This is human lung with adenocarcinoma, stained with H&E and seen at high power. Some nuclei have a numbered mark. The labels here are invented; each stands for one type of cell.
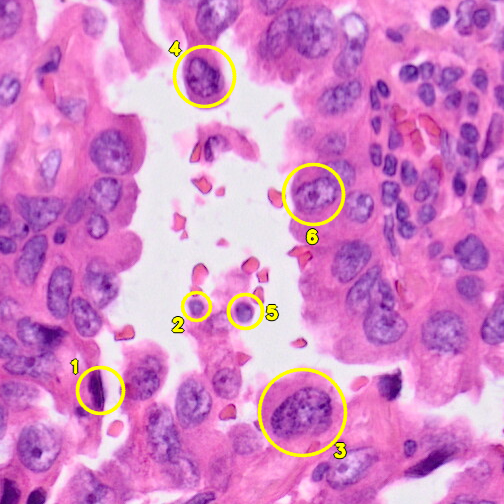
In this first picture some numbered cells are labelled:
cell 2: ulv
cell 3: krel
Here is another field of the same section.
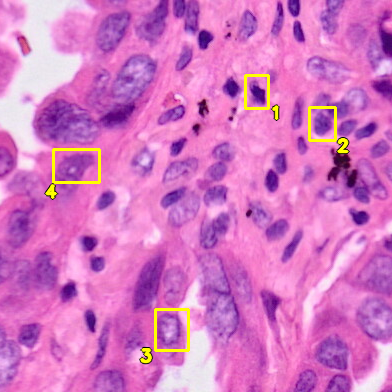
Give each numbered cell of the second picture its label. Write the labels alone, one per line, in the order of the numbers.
ulv
ulv
krel
krel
